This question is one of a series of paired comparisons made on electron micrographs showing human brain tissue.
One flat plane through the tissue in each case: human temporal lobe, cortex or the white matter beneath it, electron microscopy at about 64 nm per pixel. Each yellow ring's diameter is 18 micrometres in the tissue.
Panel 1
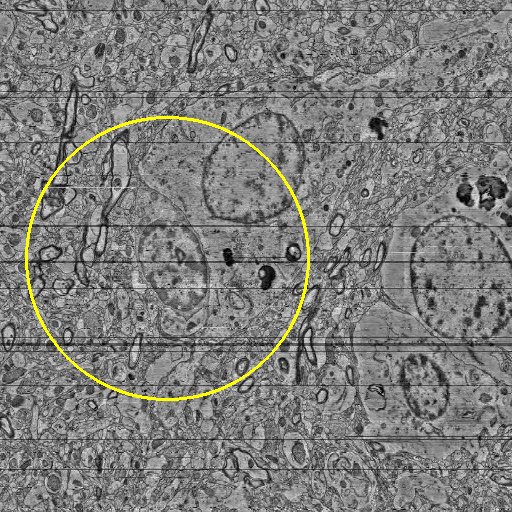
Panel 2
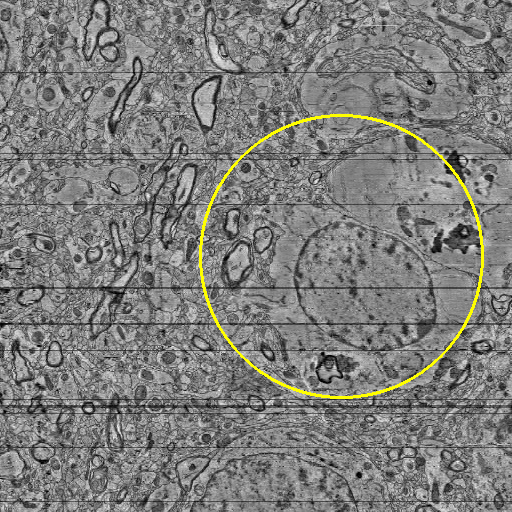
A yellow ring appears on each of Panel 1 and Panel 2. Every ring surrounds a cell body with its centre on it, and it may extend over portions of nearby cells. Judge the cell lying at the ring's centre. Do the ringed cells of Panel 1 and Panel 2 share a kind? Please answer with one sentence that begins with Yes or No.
No, the ring-centre cell in Panel 1 and the one in Panel 2 are of two kinds.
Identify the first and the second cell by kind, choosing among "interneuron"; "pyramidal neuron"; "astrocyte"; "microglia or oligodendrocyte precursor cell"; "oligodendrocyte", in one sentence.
The one in the first picture is an oligodendrocyte, while the one in the second is an astrocyte.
